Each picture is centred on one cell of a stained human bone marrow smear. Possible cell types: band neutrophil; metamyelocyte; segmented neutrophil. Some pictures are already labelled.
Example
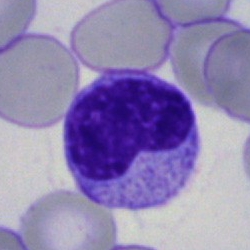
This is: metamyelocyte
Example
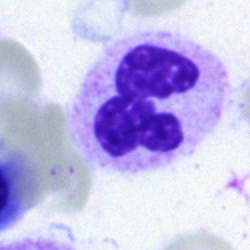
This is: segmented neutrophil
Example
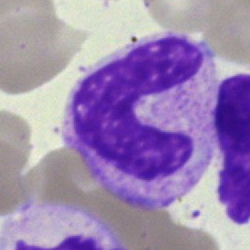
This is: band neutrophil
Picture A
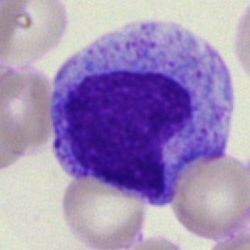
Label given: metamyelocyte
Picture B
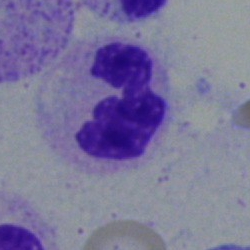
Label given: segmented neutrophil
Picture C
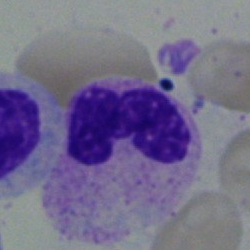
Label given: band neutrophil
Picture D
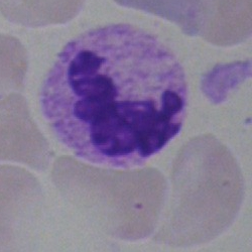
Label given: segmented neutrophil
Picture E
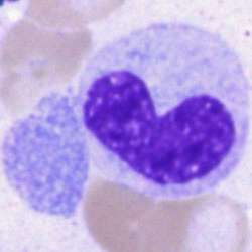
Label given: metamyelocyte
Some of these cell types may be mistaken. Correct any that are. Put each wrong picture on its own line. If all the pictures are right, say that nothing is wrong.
All labels are correct.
